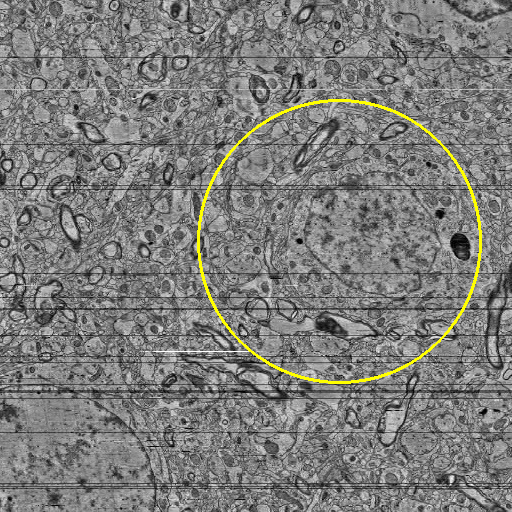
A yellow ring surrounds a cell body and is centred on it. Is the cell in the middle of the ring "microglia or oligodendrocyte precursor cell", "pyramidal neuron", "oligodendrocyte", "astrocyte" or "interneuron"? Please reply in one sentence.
The ring is centred on an interneuron.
